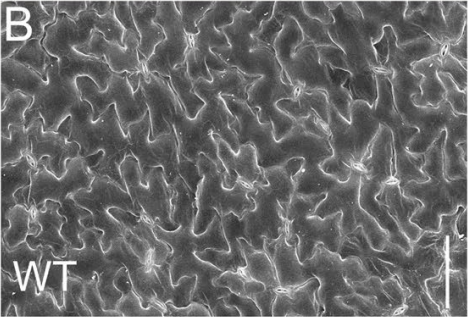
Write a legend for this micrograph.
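This is the leaf surface seen by scanning electron microscopy, showing the epidermal cells and stomata. The epidermal cells are flat with strongly wavy, lobed outlines that interlock like jigsaw pieces. Their walls show as bright raised lines against the grey cell surfaces. Scattered among them are small stomata, each a pair of kidney-shaped guard cells around a slit-like pore.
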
